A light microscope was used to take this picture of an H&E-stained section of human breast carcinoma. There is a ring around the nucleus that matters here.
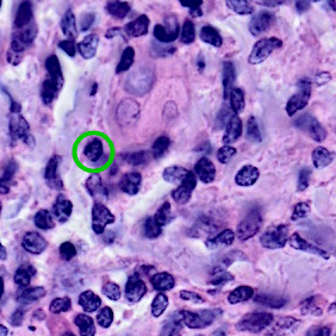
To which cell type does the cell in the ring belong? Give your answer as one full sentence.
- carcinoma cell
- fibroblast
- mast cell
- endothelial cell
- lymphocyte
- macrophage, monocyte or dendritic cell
The identity of the cell in the ring: it is a lymphocyte.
